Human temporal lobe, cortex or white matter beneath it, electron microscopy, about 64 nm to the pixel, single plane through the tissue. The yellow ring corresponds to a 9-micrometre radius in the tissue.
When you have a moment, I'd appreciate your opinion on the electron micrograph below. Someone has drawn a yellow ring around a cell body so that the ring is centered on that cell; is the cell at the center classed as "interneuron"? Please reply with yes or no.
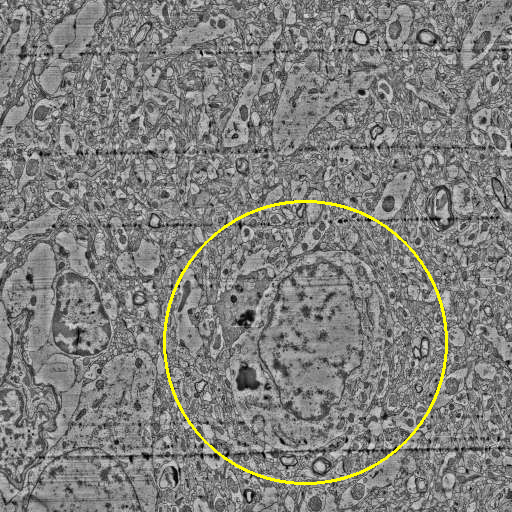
Yes, that cell is of the named kind.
